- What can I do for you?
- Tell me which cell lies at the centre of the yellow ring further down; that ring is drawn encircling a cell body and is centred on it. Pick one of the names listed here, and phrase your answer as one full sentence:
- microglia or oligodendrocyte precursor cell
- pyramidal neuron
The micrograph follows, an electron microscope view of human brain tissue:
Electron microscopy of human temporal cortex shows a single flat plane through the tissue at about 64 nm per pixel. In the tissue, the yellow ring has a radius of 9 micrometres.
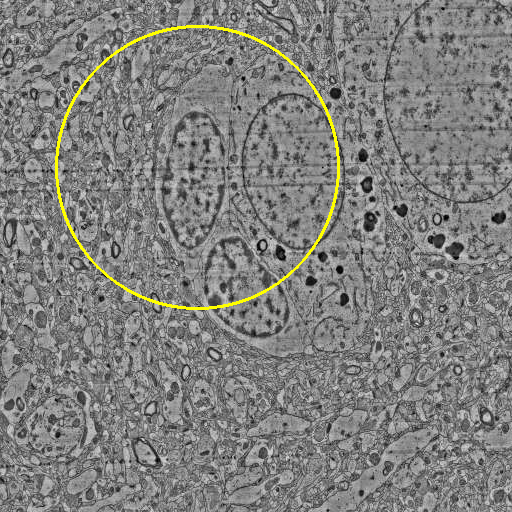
The cell whose body lies at the centre of the yellow ring is a microglial cell or oligodendrocyte precursor cell.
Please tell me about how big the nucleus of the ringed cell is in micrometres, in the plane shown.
About 9 by 4 micrometers for the nucleus, in this plane.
